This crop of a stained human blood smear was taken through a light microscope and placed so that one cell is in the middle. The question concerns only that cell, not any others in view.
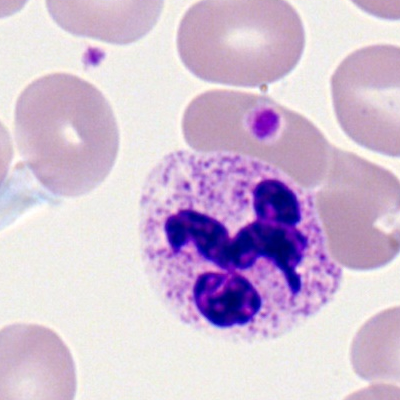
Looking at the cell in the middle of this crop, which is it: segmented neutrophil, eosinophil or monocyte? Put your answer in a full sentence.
Whatever else lies nearby, the middle cell is a segmented neutrophil.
